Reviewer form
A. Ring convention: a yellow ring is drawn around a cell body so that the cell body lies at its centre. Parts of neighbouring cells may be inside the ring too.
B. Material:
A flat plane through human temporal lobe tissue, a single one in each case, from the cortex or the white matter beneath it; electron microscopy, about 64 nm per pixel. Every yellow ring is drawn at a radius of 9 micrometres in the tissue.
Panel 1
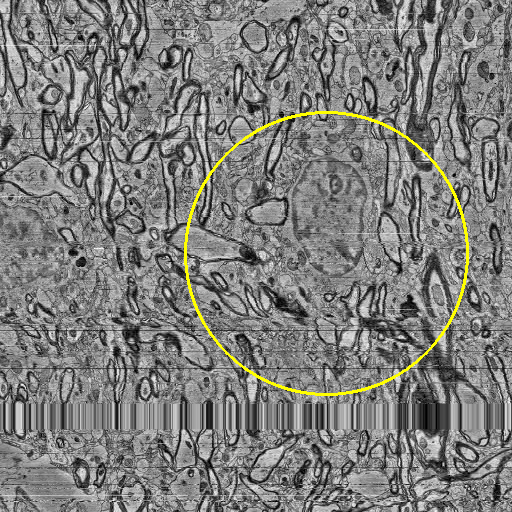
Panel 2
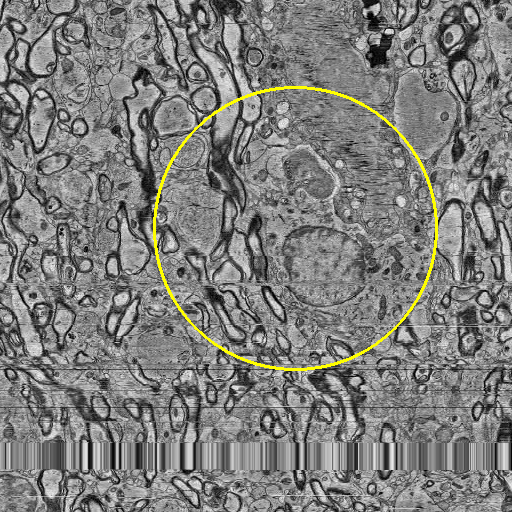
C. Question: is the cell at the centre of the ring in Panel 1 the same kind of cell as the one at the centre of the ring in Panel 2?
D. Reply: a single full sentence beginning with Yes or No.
No, the cells in Panel 1 and Panel 2 are two kinds of cell.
